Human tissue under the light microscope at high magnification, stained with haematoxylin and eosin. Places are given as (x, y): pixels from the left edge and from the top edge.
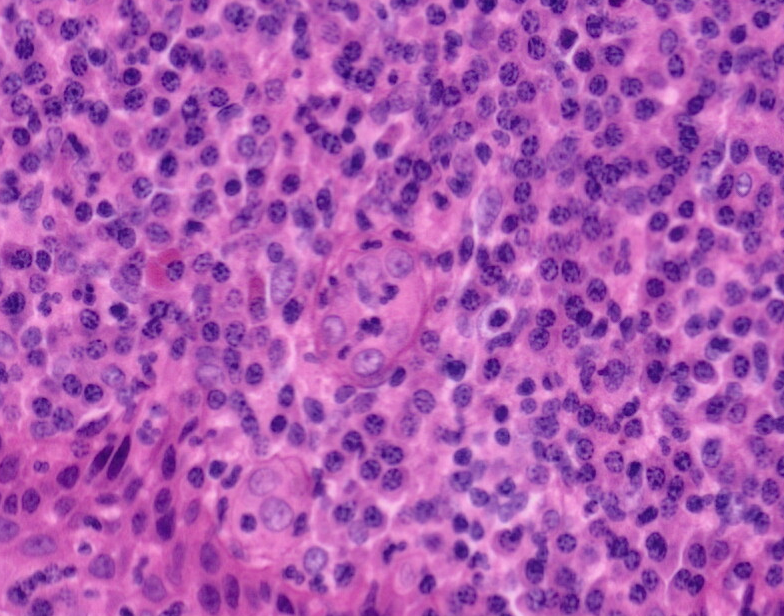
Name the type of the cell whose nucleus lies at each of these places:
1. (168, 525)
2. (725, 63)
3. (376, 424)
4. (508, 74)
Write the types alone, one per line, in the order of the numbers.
squamous epithelial cell
plasma cell
plasma cell
plasma cell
